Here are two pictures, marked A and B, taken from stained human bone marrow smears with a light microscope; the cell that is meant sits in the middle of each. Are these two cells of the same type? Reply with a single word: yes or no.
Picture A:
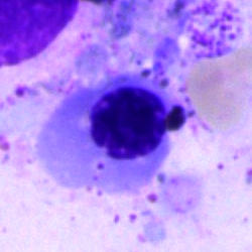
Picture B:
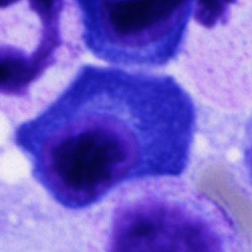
no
